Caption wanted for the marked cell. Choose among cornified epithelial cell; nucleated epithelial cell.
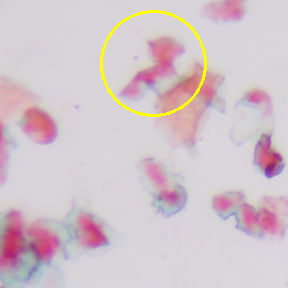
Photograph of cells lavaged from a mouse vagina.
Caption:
Ringed in yellow is a cornified epithelial cell.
